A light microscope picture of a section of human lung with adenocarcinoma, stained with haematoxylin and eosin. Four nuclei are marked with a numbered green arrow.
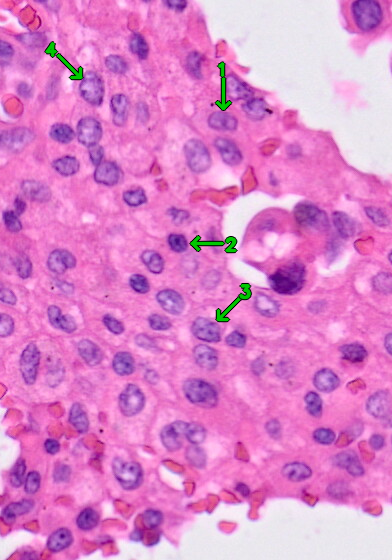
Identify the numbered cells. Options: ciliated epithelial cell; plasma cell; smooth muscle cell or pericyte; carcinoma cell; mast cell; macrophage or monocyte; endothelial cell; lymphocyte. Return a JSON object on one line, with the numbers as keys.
{"1": "macrophage or monocyte", "2": "lymphocyte", "3": "macrophage or monocyte", "4": "macrophage or monocyte"}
